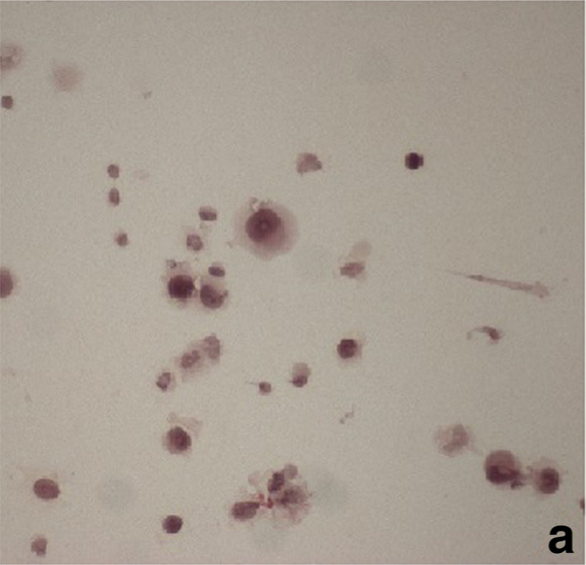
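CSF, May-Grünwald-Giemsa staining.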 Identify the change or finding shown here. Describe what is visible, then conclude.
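The cells vary widely in size and shape. One large round cell has a broad pale cytoplasm around a central nucleus. Several cells have dark purple nuclei with irregular, ragged cytoplasm. The answer: polymorphic cells with large cytoplasm.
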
